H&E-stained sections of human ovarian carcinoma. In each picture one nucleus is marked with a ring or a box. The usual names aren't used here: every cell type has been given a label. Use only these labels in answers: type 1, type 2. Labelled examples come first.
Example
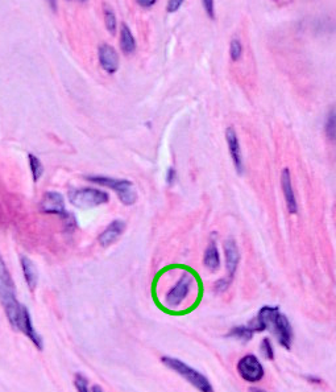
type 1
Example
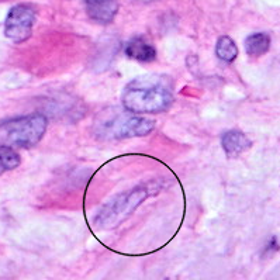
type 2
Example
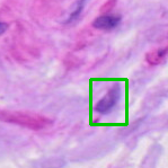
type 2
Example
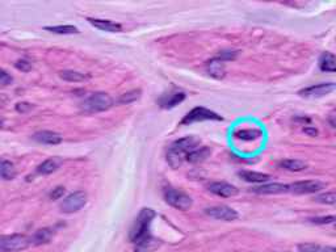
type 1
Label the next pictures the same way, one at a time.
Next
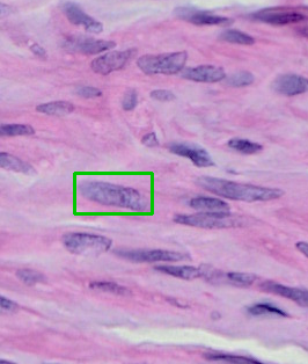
type 1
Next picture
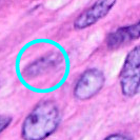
type 2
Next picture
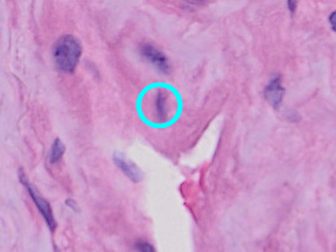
type 1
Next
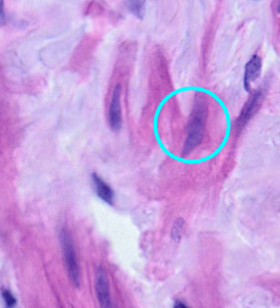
type 1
